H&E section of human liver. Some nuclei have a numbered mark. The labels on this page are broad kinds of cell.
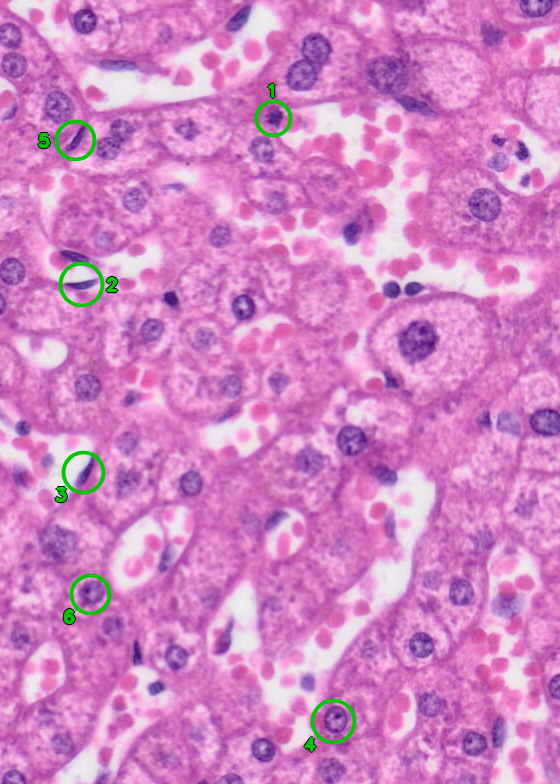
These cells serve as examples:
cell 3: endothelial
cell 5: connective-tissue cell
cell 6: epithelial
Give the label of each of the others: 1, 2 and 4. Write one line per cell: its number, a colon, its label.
1: connective-tissue cell
2: endothelial
4: epithelial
